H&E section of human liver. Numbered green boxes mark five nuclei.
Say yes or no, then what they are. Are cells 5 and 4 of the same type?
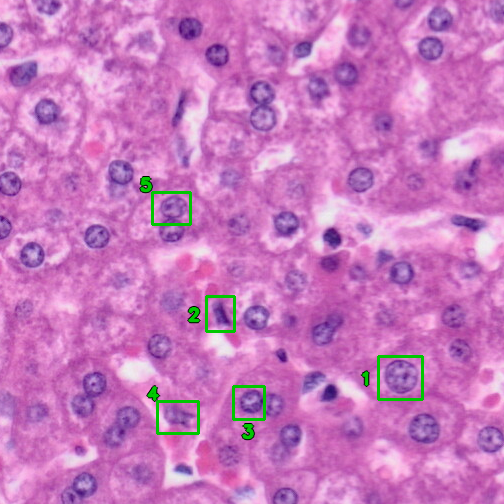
No, by type, cell 5 is a hepatocyte and cell 4 is a Kupffer cell.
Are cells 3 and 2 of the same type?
No; cell 3 is a hepatocyte, and cell 2 is a fibroblast or stellate cell.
